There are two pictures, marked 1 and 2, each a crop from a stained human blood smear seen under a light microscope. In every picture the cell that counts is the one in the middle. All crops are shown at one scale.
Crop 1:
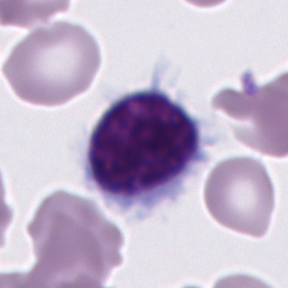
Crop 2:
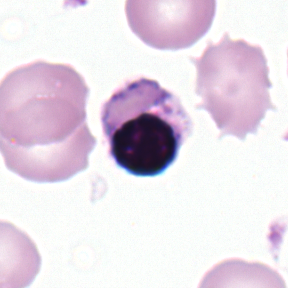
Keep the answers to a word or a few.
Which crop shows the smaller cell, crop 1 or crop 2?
2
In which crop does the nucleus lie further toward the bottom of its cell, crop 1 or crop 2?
2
